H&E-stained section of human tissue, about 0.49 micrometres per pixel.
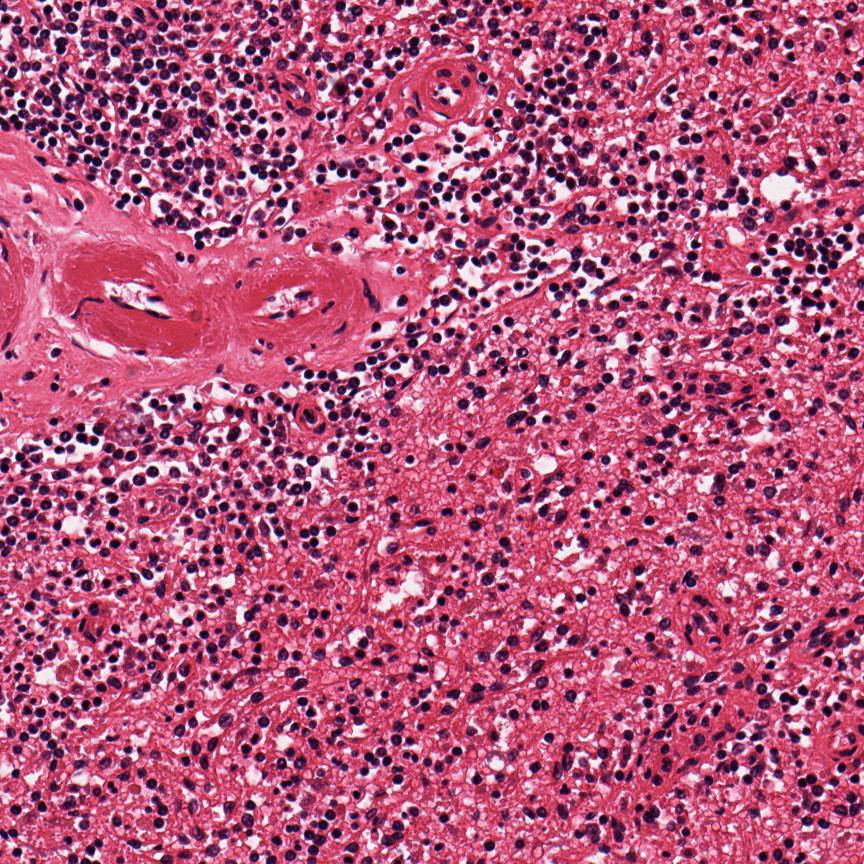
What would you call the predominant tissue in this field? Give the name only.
red pulp of the spleen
